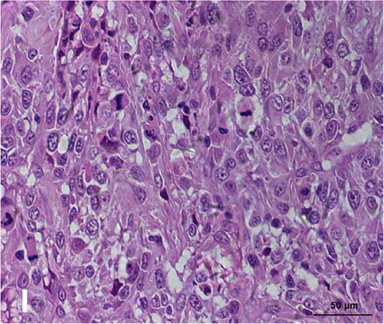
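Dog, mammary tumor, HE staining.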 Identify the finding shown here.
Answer: Pleomorphic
